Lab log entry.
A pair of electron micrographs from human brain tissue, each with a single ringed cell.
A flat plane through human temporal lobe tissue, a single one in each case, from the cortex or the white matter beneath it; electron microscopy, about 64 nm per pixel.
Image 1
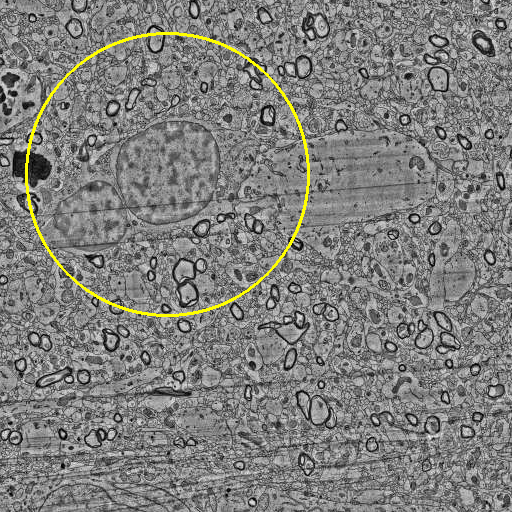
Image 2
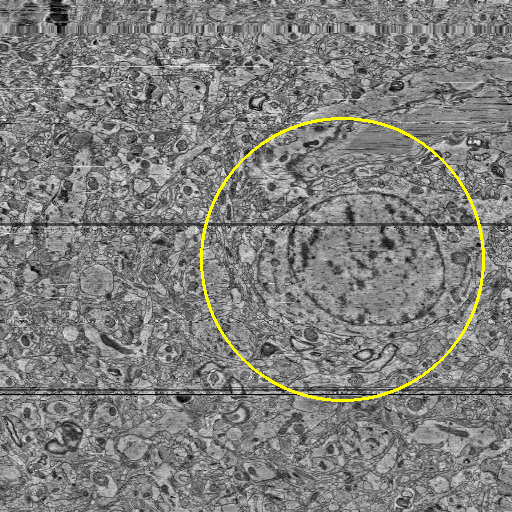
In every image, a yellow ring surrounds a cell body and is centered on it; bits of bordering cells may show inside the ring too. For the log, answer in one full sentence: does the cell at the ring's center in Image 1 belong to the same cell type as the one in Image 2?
No, the cells at the ring centers in Image 1 and Image 2 are of separate types.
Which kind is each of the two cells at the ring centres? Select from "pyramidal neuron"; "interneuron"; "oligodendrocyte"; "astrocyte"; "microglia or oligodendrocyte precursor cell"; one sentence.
The cell at the centre of the ring is an oligodendrocyte in the first picture and a pyramidal neuron in the second.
